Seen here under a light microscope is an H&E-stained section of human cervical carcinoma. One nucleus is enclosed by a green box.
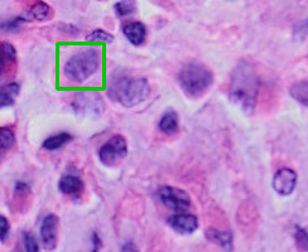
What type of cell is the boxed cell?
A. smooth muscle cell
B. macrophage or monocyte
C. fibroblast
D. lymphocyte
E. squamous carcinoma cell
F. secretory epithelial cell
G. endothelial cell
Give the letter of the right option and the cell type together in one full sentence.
Hey, it is option B: the boxed cell is a macrophage or monocyte.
